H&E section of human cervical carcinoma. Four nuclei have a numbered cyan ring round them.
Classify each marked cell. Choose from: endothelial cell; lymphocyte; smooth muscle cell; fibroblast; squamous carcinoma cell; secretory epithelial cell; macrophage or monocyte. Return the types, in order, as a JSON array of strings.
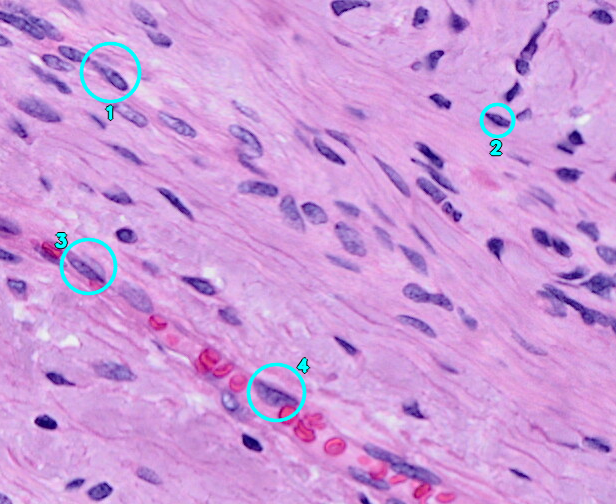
["endothelial cell", "fibroblast", "endothelial cell", "endothelial cell"]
